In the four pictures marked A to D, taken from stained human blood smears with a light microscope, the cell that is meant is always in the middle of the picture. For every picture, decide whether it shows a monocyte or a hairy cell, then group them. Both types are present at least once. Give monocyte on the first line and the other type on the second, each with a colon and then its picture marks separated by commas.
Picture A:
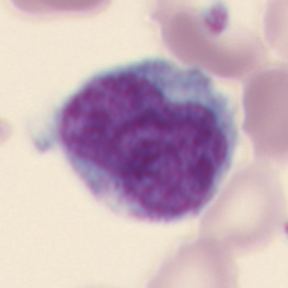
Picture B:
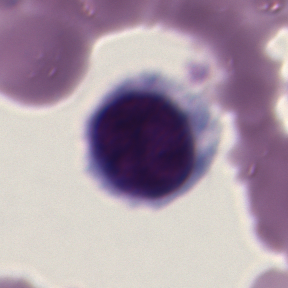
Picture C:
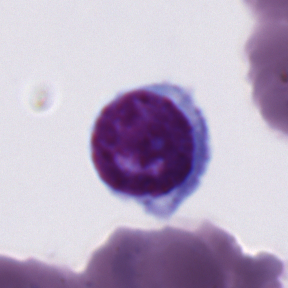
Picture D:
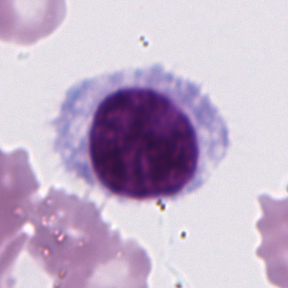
monocyte: A
hairy cell: B, C, D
